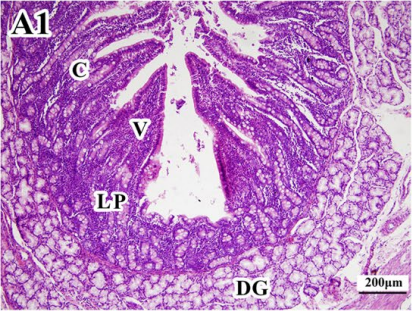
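A section of duodenal wall stained purple and pink, with villi, crypts, lamina propria and a broad layer of duodenal glands. Thick villi project into a central lumen, lined by a columnar epithelium. Their cores and the lamina propria between the crypts are densely filled with small, dark, round nuclei of lymphocytes. Tubular crypts lie at the base of the villi. Beneath the mucosa, a wide band of pale, foamy-looking glandular units with light cytoplasm and small basal nuclei encircles the mucosa, the duodenal glands, contrasting sharply with the darker, cell-rich mucosa above.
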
